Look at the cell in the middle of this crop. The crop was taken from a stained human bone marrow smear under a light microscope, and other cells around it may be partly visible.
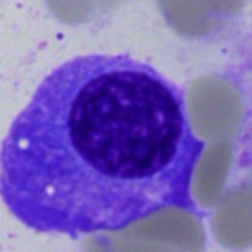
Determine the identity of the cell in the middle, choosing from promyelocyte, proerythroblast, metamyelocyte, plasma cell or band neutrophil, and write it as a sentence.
In the middle of this smear crop, the cell is a plasma cell.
